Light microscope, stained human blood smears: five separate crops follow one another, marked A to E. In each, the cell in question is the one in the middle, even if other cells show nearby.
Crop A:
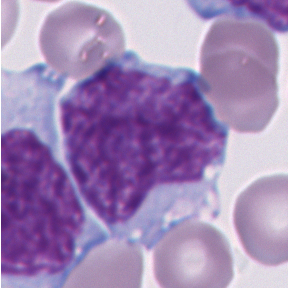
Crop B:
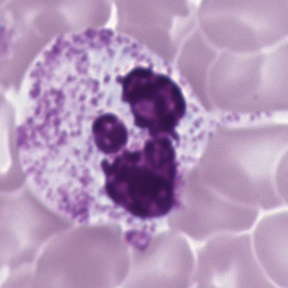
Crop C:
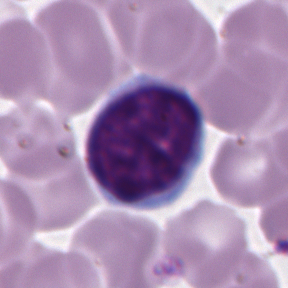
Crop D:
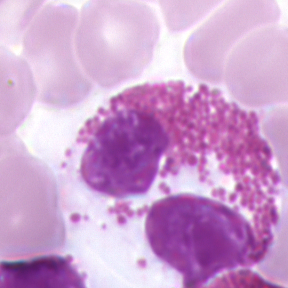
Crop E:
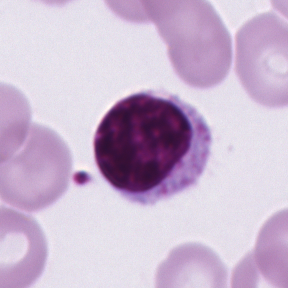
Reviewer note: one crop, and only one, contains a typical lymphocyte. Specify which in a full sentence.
The requested cell, a typical lymphocyte, is the one in crop C.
